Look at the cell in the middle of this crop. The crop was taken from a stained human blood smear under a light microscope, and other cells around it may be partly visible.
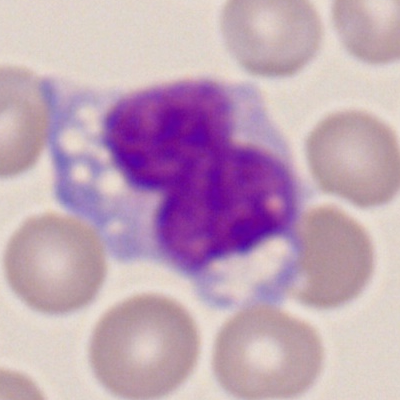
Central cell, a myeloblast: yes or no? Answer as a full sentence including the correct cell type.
No, a myeloblast is not what the central cell is; it is a monocyte.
